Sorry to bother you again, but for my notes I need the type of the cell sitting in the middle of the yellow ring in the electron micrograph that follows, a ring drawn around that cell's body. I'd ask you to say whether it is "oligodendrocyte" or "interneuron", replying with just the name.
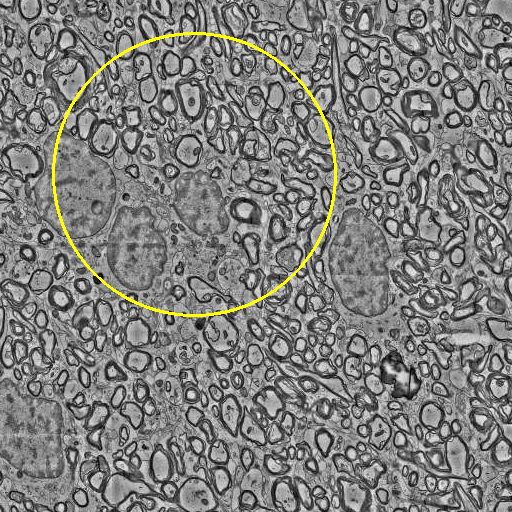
oligodendrocyte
